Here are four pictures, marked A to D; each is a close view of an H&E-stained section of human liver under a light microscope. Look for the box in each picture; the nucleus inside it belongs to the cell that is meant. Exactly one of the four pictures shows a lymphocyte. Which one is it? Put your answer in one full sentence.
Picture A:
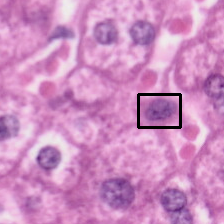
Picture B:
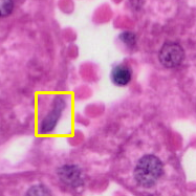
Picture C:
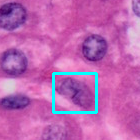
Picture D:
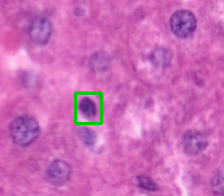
Picture D shows the lymphocyte.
